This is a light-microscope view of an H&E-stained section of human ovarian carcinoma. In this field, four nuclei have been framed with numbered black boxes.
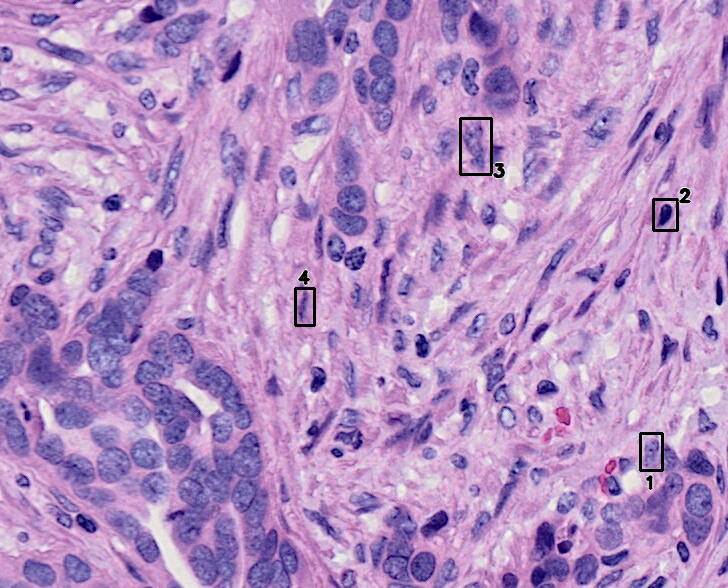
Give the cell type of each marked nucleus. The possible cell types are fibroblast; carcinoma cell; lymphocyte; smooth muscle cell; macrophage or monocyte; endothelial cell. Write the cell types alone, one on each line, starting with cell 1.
fibroblast
lymphocyte
fibroblast
fibroblast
